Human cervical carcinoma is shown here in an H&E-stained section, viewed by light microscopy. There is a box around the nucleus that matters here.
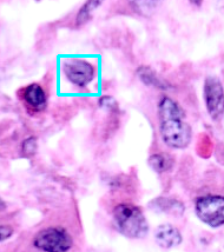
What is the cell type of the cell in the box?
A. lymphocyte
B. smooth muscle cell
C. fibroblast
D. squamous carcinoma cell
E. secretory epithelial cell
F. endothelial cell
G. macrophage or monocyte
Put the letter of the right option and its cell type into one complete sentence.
Option G is accurate, for the cell in the box is a macrophage or monocyte.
